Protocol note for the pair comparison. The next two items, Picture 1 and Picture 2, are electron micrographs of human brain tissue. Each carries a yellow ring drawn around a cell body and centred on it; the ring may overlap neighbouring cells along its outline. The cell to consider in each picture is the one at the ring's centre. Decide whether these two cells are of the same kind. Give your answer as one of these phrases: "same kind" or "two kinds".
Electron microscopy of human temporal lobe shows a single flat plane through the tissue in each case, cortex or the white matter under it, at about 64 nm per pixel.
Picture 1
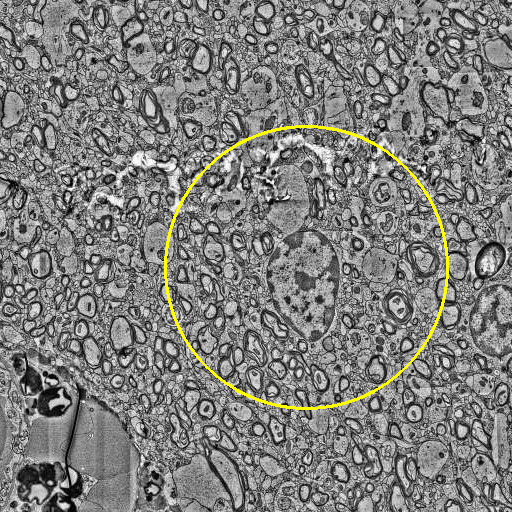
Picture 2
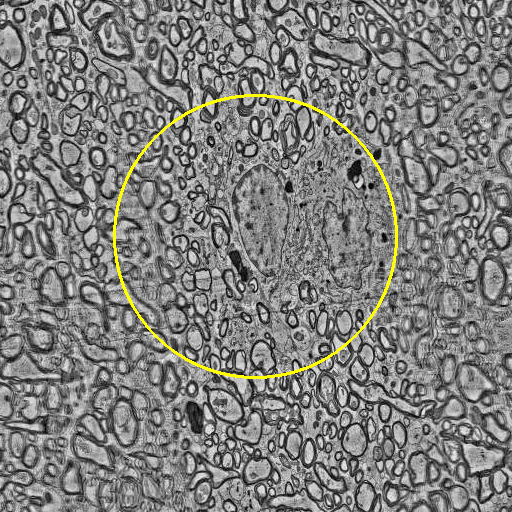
same kind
